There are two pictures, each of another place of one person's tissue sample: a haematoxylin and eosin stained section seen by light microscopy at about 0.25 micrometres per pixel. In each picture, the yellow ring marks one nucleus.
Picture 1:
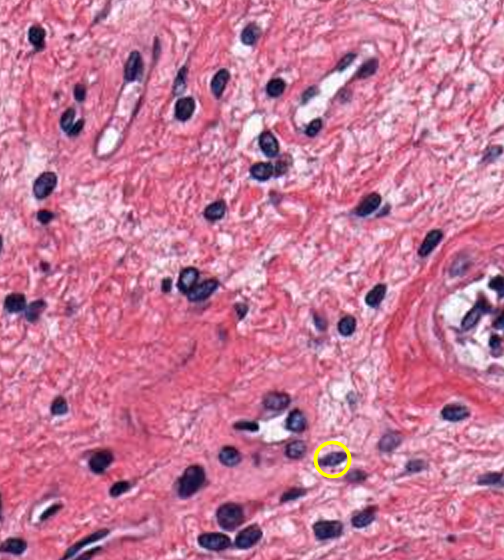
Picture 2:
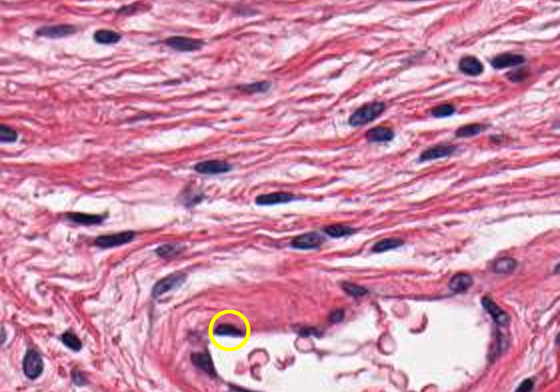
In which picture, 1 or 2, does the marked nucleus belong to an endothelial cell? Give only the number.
2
